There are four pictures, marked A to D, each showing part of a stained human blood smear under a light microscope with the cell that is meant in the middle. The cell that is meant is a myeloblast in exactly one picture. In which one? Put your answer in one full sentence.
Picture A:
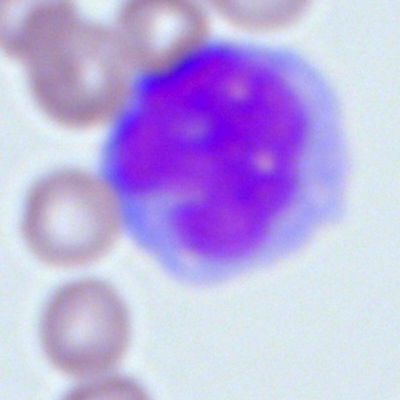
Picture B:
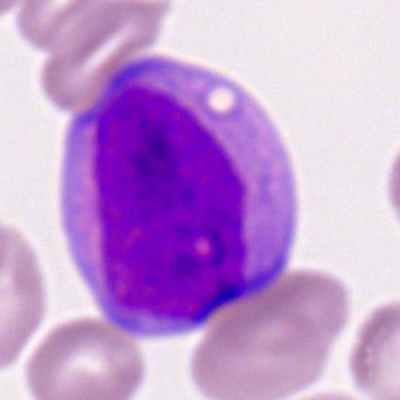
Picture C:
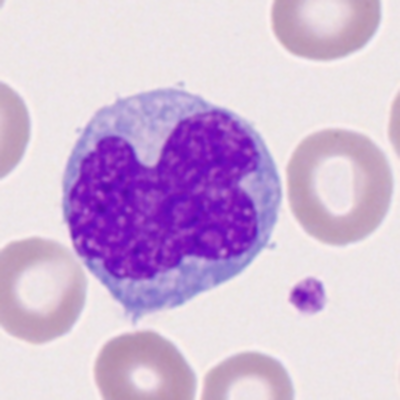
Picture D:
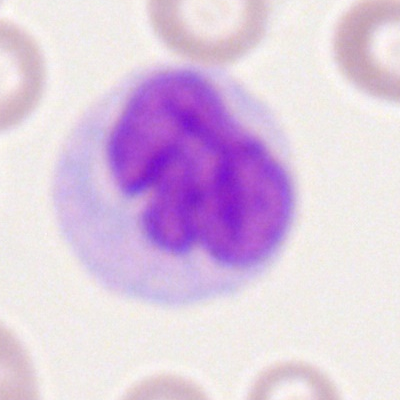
The myeloblast is the one in picture B.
